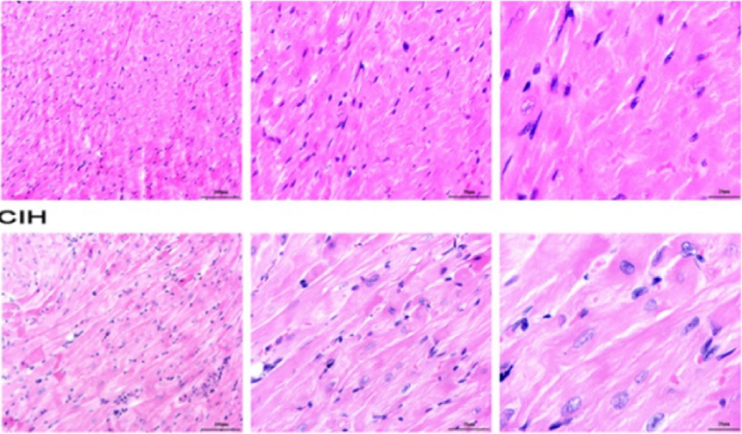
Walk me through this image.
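Heart muscle cells in a hematoxylin and eosin section, with pink cytoplasm and blue-purple nuclei, shown at three magnifications. In the upper row the fibres run in orderly parallel bundles with slender elongated nuclei. In the lower row the fibres are less orderly and many nuclei are enlarged and oval with pale, open chromatin.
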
